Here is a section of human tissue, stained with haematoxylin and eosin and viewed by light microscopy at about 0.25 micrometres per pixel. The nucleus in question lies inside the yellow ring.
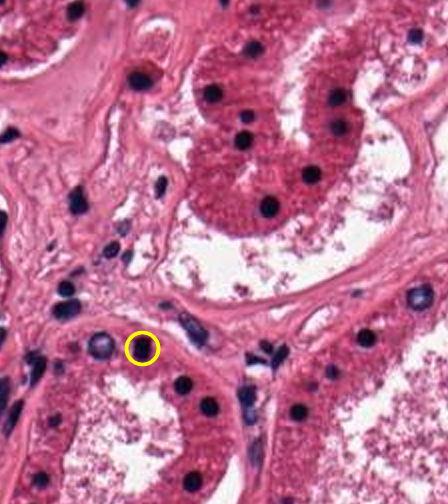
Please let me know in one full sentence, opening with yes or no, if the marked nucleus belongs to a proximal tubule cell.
Yes, here the marked nucleus belongs to a proximal tubule cell.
